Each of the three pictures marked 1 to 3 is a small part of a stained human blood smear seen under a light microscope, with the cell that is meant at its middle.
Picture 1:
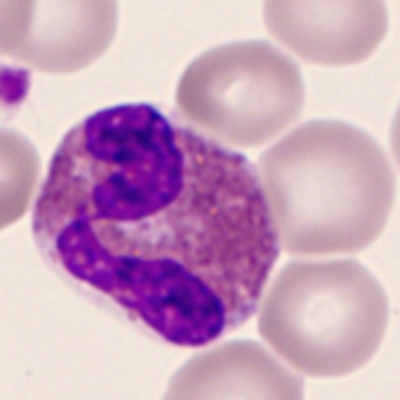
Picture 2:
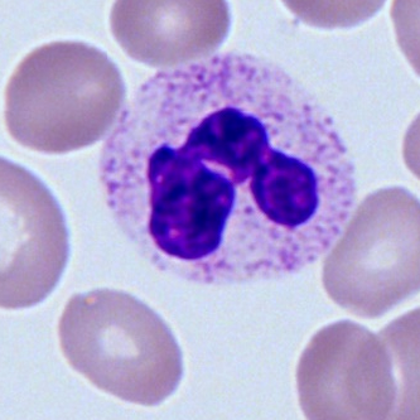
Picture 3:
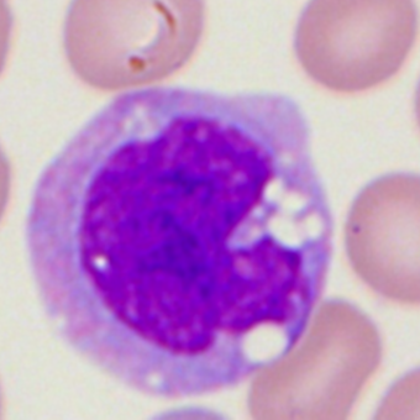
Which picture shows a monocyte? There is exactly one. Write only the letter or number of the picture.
3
